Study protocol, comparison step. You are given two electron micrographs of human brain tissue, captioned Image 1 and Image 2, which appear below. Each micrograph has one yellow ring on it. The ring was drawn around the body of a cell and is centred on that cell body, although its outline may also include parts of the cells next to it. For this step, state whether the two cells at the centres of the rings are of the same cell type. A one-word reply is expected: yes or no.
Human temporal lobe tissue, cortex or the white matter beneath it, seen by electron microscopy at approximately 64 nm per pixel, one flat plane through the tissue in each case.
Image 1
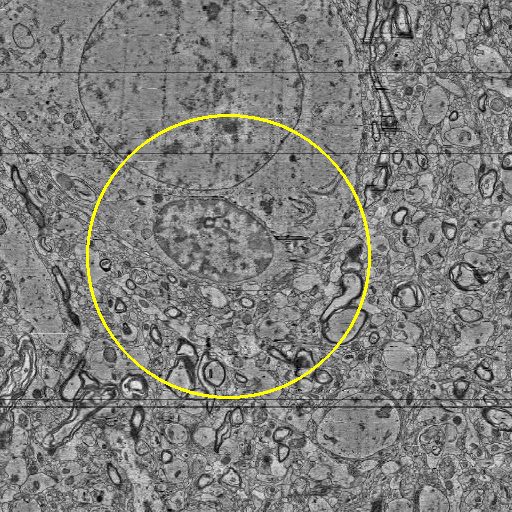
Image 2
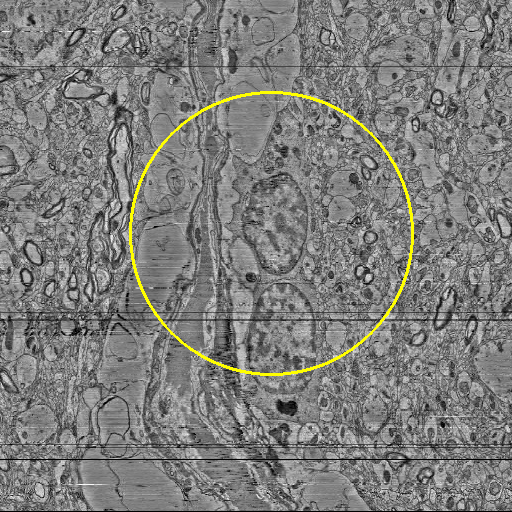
yes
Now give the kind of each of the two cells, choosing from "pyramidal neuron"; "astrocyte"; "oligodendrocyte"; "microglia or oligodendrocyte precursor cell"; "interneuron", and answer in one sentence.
The cell in the first picture is an oligodendrocyte, and so is the one in the second.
